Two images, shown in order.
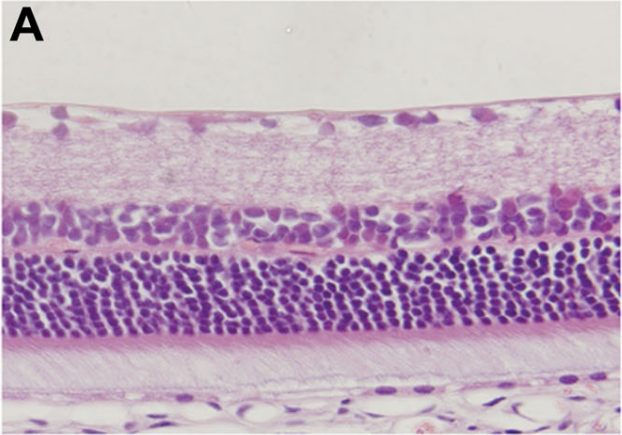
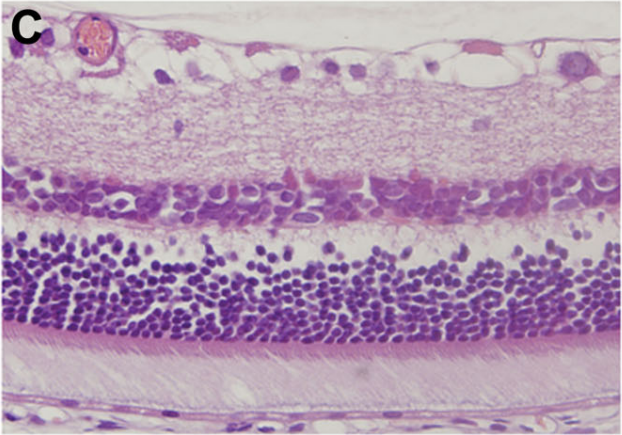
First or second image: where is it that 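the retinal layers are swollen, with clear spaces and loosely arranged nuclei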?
The second image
